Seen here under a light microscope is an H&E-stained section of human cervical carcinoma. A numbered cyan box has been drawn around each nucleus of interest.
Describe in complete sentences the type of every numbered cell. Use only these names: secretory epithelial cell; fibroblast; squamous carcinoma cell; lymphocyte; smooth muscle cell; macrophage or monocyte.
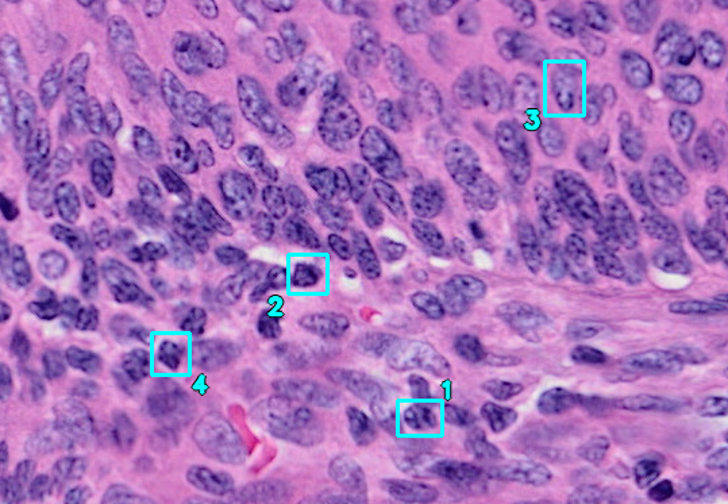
Cell 1 is a lymphocyte, cell 2 is a lymphocyte, cell 3 is a squamous carcinoma cell and cell 4 is a lymphocyte.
